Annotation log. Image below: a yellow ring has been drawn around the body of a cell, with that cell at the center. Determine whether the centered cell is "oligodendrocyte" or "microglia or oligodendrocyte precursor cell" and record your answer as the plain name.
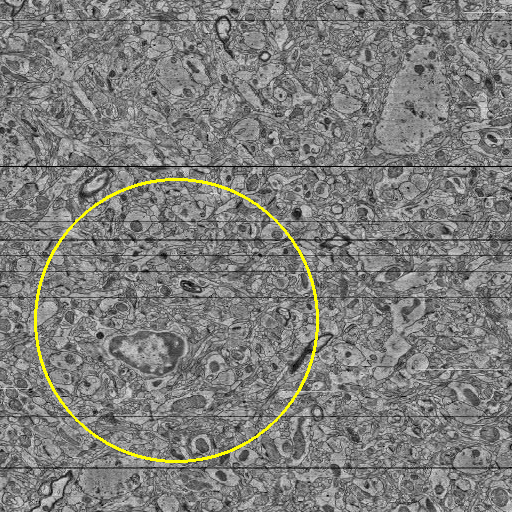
microglia or oligodendrocyte precursor cell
